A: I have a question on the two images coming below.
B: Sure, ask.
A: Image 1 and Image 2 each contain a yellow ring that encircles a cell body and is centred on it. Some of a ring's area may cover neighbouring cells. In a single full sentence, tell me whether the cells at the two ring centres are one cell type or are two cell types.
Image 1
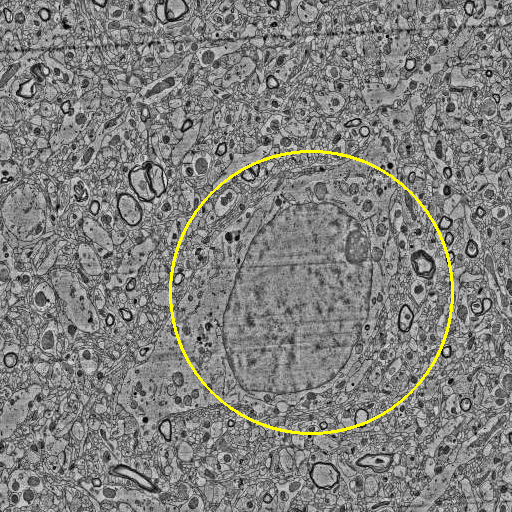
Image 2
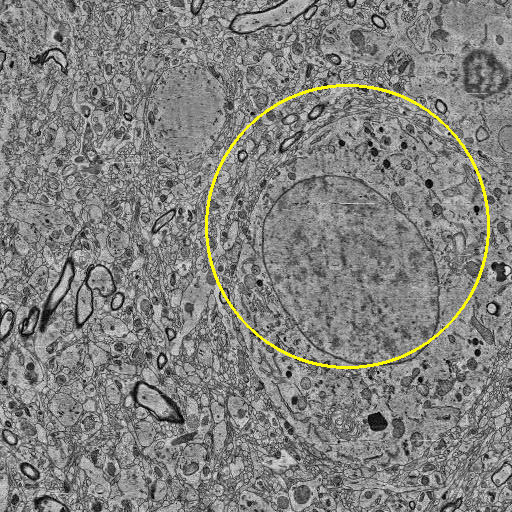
As for the ring-centre cells, the one in Image 1 and the one in Image 2 are two cell types.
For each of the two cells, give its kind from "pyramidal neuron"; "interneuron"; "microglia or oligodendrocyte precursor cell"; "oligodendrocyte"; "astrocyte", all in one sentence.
The first picture has an interneuron in its ring, the second has a pyramidal neuron.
